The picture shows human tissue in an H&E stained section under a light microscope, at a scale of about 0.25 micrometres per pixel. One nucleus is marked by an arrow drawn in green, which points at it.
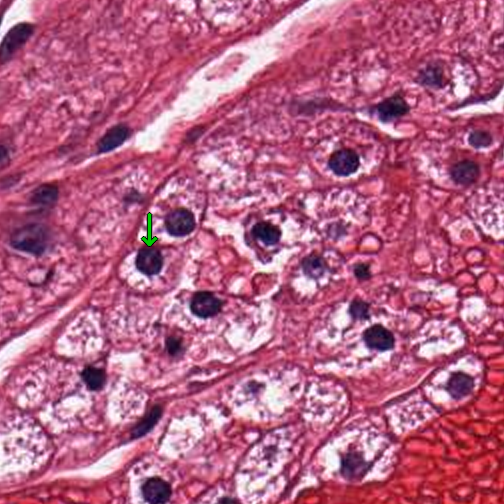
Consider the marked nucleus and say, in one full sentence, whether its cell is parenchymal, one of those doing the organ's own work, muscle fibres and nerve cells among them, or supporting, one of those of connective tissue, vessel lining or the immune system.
The marked nucleus is housed in a parenchymal cell, namely an adrenal cortical cell.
